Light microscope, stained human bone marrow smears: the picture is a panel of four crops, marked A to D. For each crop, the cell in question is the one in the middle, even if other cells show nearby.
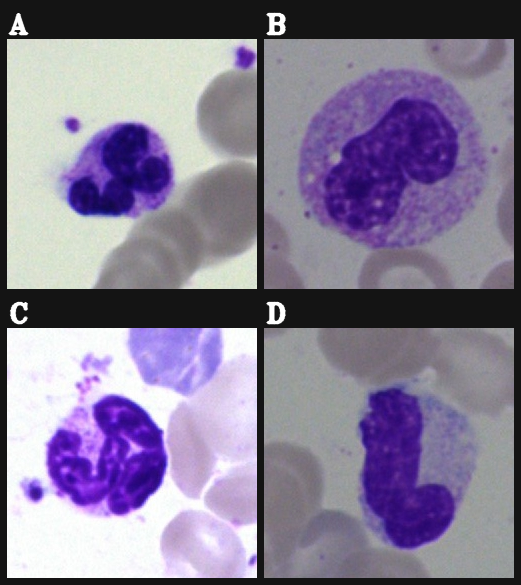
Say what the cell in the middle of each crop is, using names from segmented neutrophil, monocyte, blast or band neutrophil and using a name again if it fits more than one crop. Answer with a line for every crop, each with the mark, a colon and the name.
A: segmented neutrophil
B: band neutrophil
C: segmented neutrophil
D: band neutrophil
